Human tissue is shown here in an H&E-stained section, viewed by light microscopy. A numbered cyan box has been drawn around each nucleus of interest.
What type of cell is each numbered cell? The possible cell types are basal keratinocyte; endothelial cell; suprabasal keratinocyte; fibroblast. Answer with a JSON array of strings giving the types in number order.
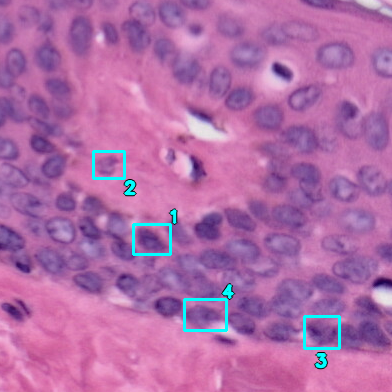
["basal keratinocyte", "fibroblast", "basal keratinocyte", "basal keratinocyte"]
